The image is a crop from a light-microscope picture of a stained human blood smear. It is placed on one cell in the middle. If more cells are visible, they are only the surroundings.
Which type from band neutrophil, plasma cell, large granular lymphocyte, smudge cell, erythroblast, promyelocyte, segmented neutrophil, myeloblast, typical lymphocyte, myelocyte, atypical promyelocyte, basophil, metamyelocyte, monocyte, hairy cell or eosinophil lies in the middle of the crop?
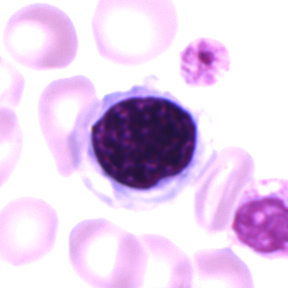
erythroblast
